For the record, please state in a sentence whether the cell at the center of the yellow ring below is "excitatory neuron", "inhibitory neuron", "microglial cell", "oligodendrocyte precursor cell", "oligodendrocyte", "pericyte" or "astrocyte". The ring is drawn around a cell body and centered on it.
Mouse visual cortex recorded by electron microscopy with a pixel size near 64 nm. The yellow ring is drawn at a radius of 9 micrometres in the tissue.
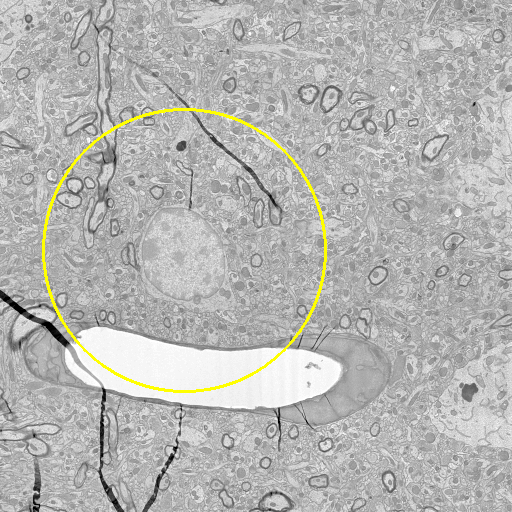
The cell at the ring's center is an oligodendrocyte.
